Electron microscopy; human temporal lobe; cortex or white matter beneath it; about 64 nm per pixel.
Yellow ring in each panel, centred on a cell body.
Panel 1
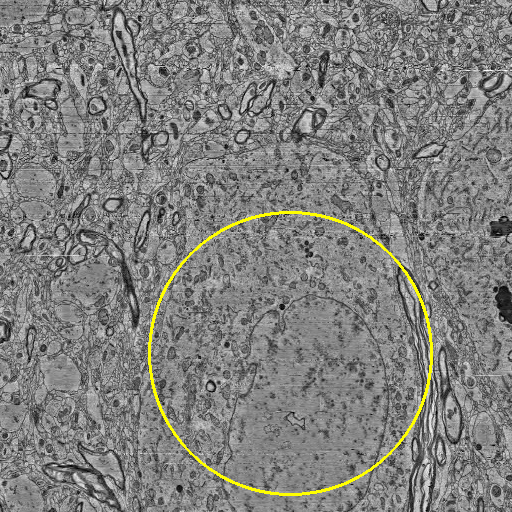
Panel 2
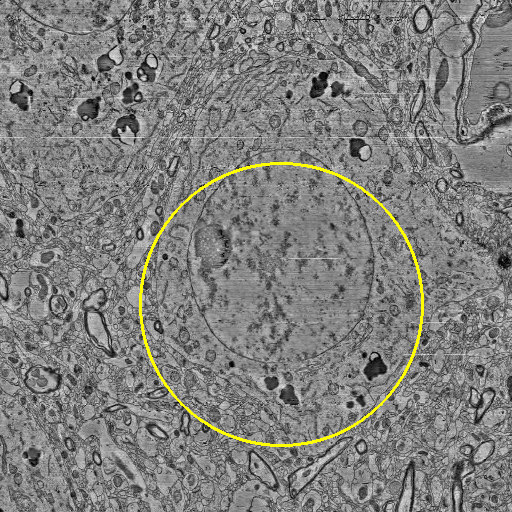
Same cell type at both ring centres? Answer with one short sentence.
Yes, both cells are of the same type.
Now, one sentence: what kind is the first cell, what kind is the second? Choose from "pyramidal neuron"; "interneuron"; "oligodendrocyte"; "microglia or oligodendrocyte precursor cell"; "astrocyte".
In each of the two pictures, the ringed cell is a pyramidal neuron.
